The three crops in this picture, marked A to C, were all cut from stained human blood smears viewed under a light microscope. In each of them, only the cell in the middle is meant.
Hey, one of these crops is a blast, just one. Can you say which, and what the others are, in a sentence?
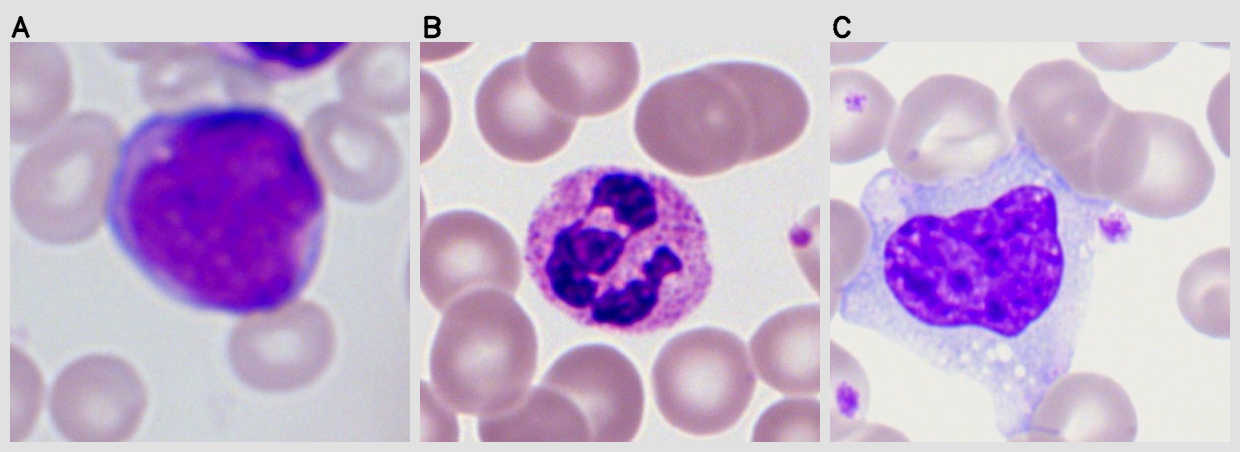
The middle of crop A is occupied by a blast, while crop B is a neutrophil and crop C is a monocyte.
